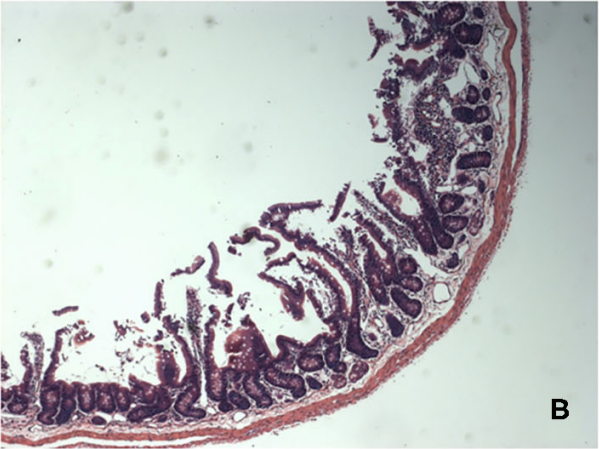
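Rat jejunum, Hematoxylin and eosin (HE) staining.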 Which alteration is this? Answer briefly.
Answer: Broken villi.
